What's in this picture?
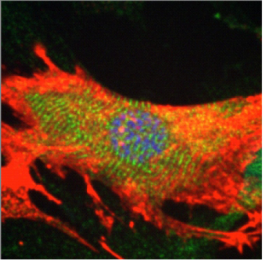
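A single spread, flattened heart muscle cell in culture, with a round central nucleus whose blue chromatin is gathered into many condensed threads, as in prophase. Across the middle of the cell, around and over the nucleus, green runs in fine, regular parallel bands, a striated pattern of myofibrils that still looks orderly. The red is spread broadly and fairly diffusely through the cytoplasm and is brightest at the cell's edges and in its long, spiky processes reaching outward; only faint striation is left in red. Where the two overlap the centre appears yellowish green. Neighbouring cells lie dimly at the edges.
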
